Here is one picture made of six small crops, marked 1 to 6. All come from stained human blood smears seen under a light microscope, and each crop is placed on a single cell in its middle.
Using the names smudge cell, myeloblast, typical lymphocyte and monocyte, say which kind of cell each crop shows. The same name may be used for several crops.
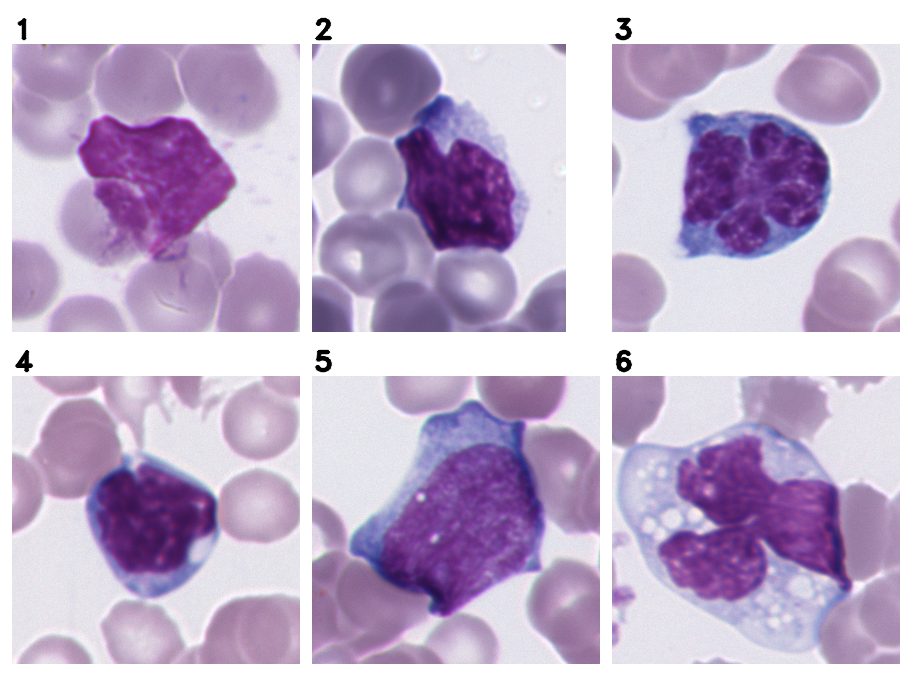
1: smudge cell
2: typical lymphocyte
3: myeloblast
4: typical lymphocyte
5: myeloblast
6: monocyte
